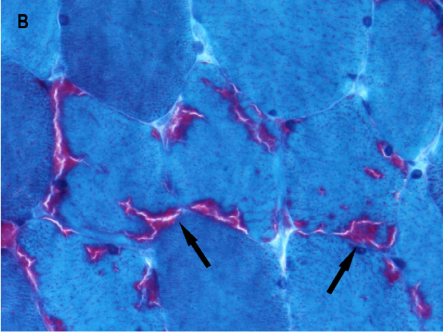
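Cross-sectioned skeletal muscle fibres stain blue-green, with irregular bright red inclusions at their margins under the fibre surface and some within the fibres. The red material forms elongated, branching clumps that follow the fibre borders.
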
